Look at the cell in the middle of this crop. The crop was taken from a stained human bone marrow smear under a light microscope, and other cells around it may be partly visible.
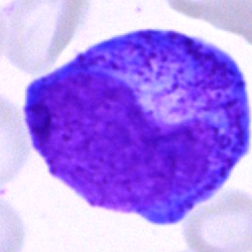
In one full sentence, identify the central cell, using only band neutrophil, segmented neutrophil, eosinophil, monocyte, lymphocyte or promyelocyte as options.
At the center of the crop sits a promyelocyte.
